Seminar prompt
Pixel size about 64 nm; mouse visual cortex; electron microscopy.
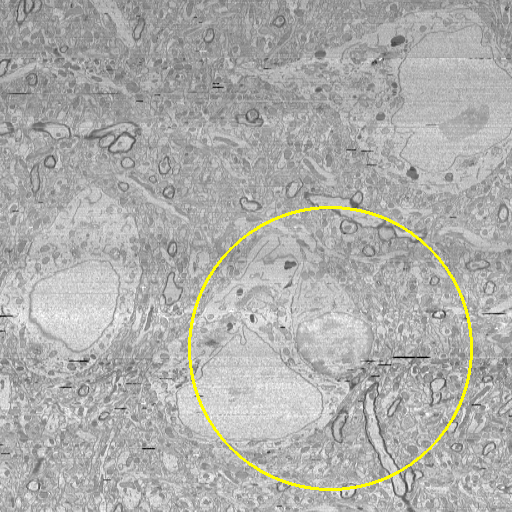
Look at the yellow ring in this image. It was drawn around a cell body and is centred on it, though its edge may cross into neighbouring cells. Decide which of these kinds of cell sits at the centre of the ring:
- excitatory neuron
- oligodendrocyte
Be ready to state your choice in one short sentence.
The kind of cell at the ring's centre is an oligodendrocyte.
